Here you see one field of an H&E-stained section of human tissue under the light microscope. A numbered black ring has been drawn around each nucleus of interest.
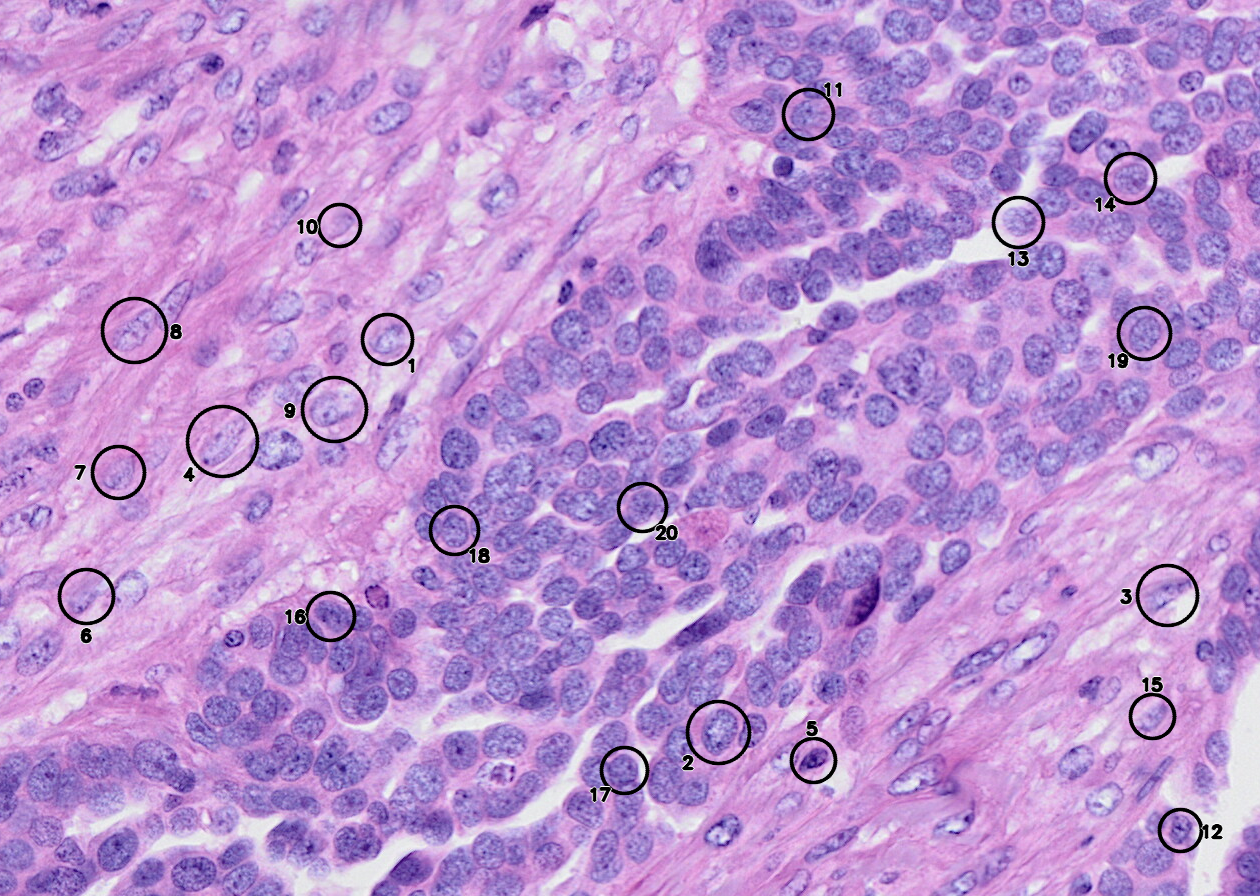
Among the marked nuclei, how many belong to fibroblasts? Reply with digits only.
9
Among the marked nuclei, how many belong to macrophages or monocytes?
1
